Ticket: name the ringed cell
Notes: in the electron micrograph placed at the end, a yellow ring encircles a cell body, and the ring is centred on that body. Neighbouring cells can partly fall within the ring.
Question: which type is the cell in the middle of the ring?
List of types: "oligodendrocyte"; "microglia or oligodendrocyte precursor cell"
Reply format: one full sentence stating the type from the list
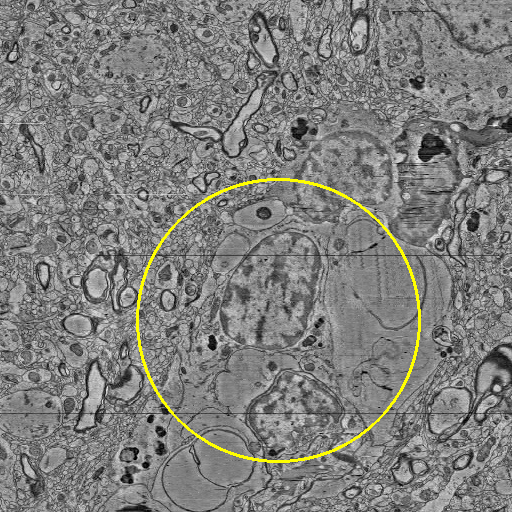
The cell sitting at the centre of the yellow ring is a microglial cell or oligodendrocyte precursor cell.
